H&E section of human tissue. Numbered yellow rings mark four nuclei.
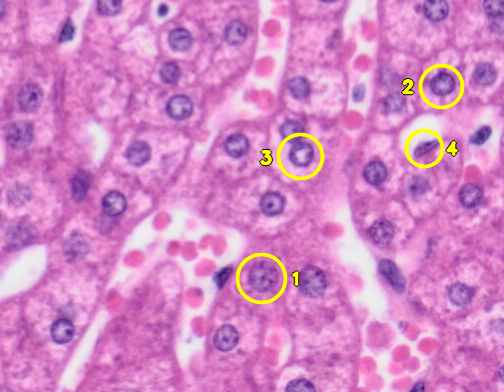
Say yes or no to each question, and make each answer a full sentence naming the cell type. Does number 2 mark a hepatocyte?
Yes, cell number 2 in this section is a hepatocyte.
